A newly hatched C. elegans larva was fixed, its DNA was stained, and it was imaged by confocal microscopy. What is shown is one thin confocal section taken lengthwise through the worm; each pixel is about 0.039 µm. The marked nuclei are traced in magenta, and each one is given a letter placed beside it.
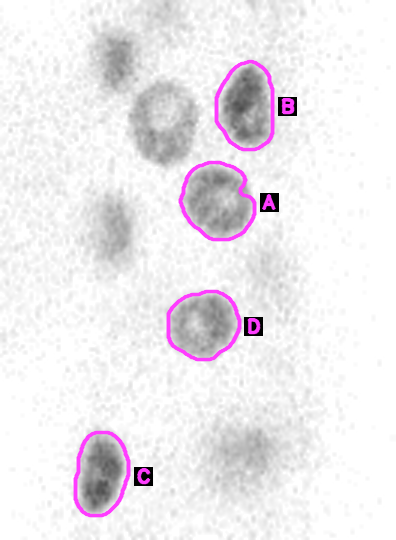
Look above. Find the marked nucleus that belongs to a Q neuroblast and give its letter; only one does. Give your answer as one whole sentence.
Of the marked nuclei, D is the one in a Q neuroblast.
